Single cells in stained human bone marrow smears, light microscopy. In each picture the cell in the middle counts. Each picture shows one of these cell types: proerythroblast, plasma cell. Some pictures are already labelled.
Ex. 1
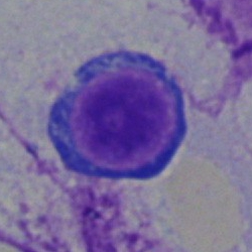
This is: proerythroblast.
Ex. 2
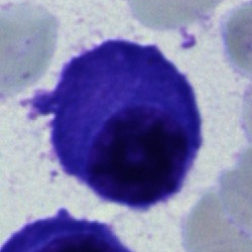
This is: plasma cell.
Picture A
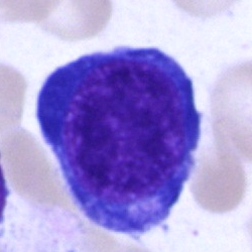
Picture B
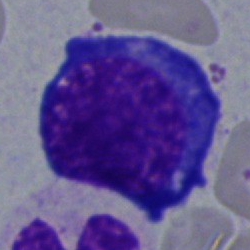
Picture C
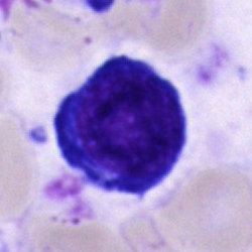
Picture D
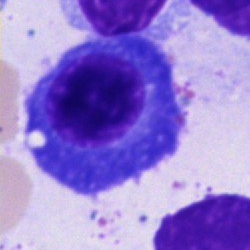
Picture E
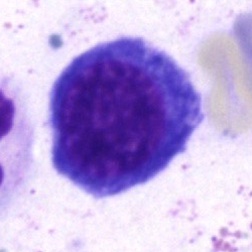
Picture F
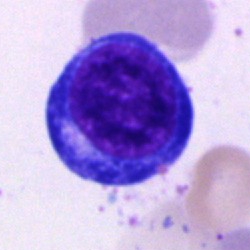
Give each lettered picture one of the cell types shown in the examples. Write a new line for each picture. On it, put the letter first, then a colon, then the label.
A: proerythroblast.
B: proerythroblast.
C: proerythroblast.
D: plasma cell.
E: proerythroblast.
F: proerythroblast.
